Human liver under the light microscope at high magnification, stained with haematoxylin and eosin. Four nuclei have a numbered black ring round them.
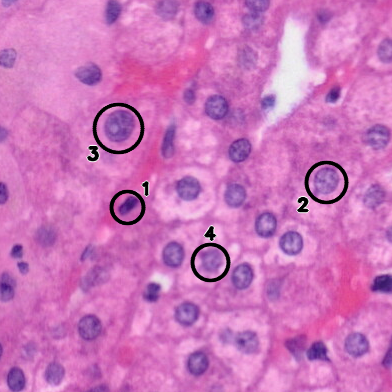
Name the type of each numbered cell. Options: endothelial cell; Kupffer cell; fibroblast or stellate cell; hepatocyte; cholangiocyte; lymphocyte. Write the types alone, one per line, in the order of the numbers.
lymphocyte
hepatocyte
hepatocyte
hepatocyte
